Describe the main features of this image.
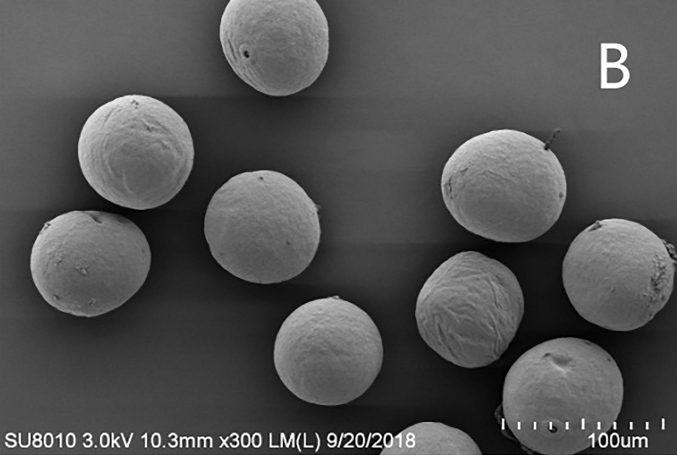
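Pollen grains lie singly on a smooth substrate. Most grains are nearly spherical and plump, with a finely granular, slightly wrinkled surface. A few show a small pore-like pit or shallow dent.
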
